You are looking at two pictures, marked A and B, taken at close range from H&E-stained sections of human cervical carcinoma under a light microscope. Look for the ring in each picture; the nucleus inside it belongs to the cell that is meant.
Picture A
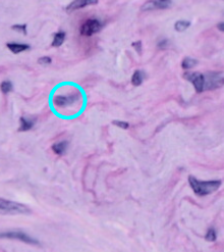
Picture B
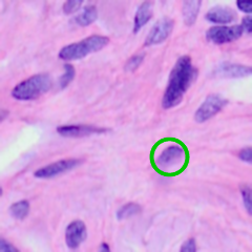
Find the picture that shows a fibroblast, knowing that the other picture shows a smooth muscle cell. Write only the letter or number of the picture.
B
